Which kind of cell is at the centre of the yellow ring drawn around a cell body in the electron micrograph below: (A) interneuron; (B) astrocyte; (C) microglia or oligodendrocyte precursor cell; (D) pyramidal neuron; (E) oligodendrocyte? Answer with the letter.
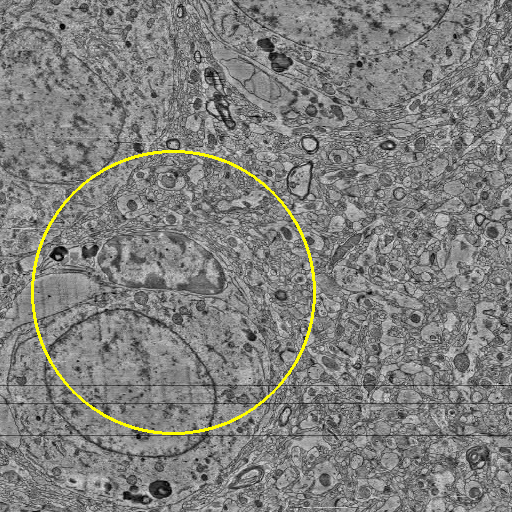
C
